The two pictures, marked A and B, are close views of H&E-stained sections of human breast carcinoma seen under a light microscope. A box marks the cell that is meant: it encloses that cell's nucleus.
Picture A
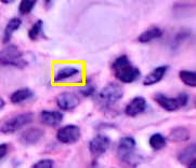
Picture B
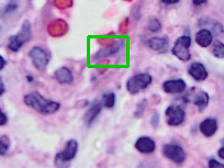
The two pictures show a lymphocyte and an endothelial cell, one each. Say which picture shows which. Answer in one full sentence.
The cell in picture A is a lymphocyte, and the one in picture B is an endothelial cell.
